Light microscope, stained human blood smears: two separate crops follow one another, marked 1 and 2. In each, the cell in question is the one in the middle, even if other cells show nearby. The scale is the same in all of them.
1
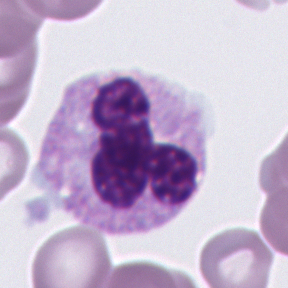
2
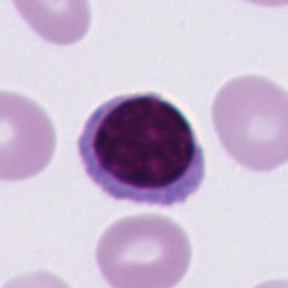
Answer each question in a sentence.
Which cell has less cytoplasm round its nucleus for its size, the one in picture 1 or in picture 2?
It is the cell in picture 2 that is filled more by its nucleus.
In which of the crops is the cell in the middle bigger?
Larger is the cell in picture 1, at roughly 2 times the area of the other.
